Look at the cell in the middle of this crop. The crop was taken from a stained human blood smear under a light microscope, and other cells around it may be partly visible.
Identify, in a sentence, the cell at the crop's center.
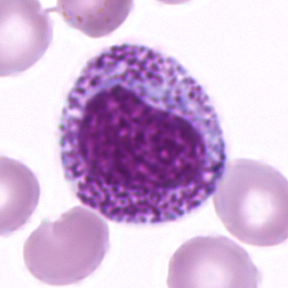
Occupying the centre of the crop is a myelocyte.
